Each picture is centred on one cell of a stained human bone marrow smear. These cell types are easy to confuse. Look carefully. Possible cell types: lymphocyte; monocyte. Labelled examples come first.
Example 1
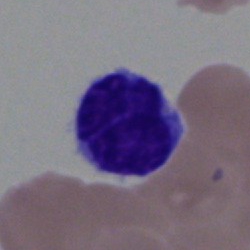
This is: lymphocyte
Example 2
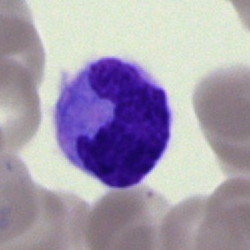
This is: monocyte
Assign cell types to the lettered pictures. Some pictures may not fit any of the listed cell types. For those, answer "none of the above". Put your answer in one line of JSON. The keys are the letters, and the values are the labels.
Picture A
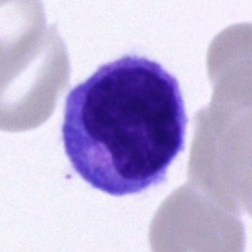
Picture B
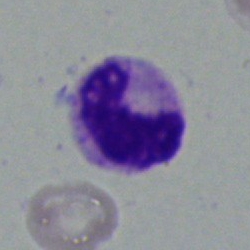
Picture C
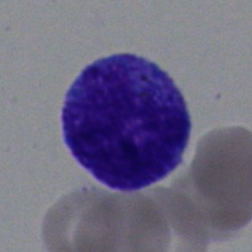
{"A": "monocyte", "B": "none of the above", "C": "monocyte"}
